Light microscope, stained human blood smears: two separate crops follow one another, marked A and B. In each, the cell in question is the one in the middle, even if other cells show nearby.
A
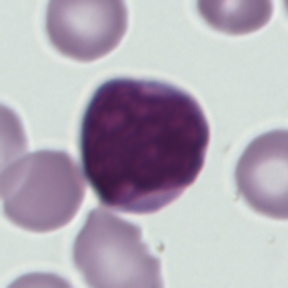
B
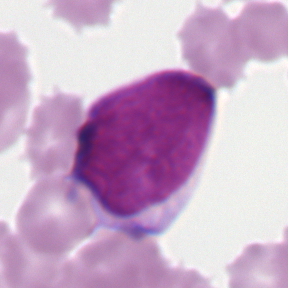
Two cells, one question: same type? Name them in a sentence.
Yes, the cells at the middle of both crops are myeloblasts.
